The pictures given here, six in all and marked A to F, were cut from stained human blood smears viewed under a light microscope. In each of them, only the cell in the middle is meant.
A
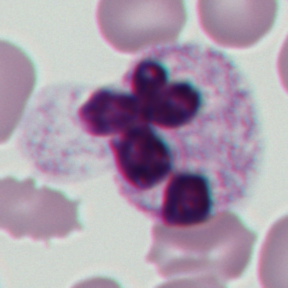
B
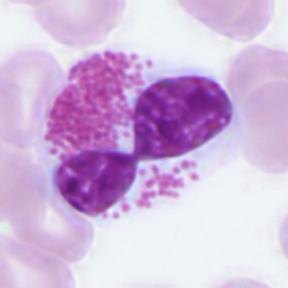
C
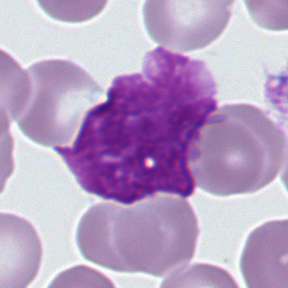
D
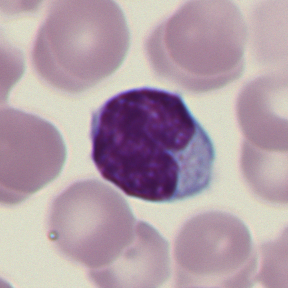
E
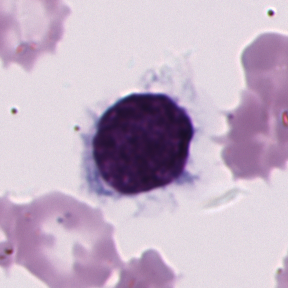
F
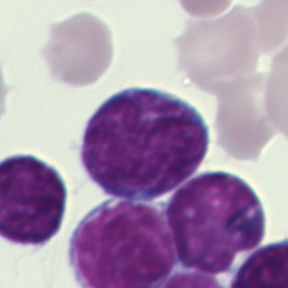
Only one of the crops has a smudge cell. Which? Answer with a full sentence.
Crop C is the crop in which a smudge cell is shown.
